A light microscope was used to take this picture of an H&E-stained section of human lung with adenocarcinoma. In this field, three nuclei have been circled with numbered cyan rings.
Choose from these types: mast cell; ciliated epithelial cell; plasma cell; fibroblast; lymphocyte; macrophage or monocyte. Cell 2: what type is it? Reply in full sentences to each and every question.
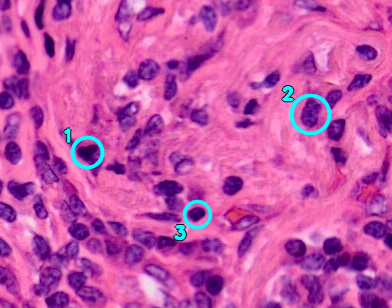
The numbered cell 2 in this field is a plasma cell.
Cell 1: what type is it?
The cell bearing label 1 corresponds to a plasma cell.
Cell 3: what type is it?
The cell that carries the label 3 is a lymphocyte.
